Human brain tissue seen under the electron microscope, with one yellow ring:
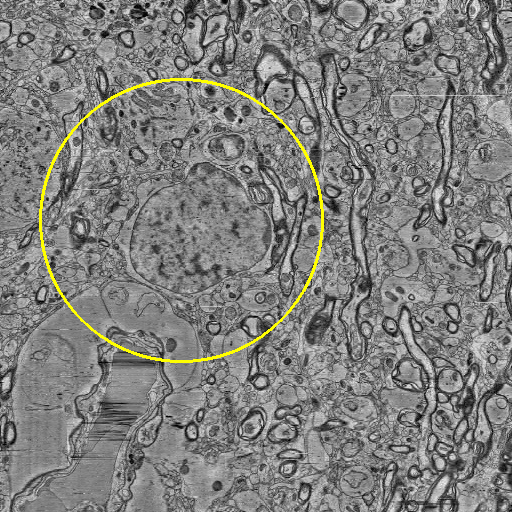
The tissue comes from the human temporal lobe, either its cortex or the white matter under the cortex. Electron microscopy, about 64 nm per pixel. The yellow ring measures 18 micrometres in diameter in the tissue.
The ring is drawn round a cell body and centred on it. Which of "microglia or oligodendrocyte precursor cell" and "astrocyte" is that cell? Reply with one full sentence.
The picture shows a microglial cell or oligodendrocyte precursor cell at the very centre of the yellow ring.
